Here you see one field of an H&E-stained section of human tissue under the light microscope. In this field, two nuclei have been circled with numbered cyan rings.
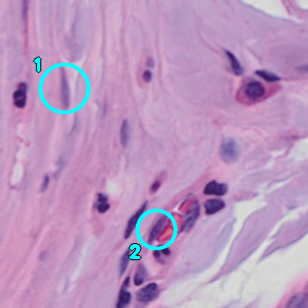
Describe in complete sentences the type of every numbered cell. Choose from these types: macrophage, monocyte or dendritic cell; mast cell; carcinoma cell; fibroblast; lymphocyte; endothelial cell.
Cell 1 is a fibroblast. Cell 2 is an endothelial cell.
